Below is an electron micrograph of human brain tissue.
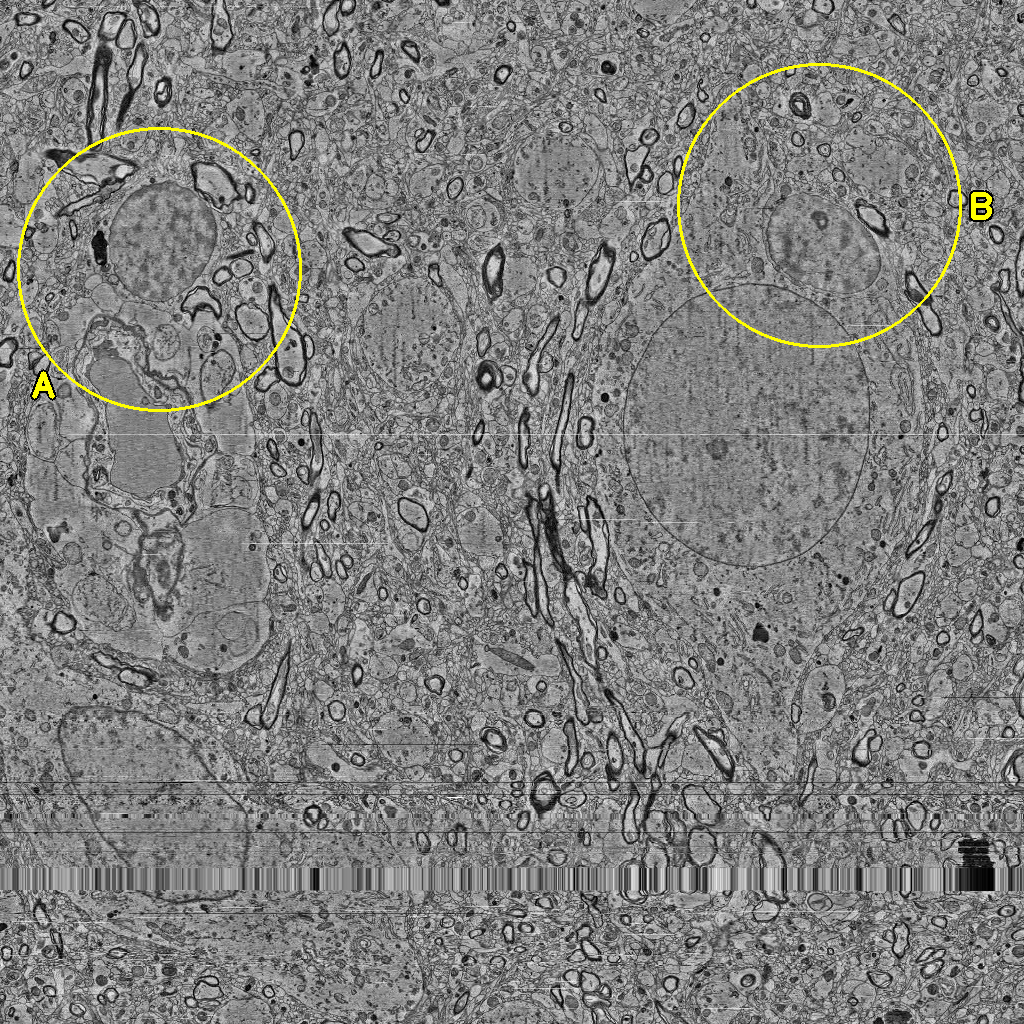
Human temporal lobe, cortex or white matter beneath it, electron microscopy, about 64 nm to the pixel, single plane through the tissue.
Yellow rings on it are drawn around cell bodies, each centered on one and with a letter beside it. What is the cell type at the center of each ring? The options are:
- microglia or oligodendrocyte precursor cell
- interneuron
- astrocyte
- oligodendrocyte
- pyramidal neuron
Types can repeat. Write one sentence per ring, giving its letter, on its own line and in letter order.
At the center of ring A is an oligodendrocyte.
At the center of ring B is an oligodendrocyte.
